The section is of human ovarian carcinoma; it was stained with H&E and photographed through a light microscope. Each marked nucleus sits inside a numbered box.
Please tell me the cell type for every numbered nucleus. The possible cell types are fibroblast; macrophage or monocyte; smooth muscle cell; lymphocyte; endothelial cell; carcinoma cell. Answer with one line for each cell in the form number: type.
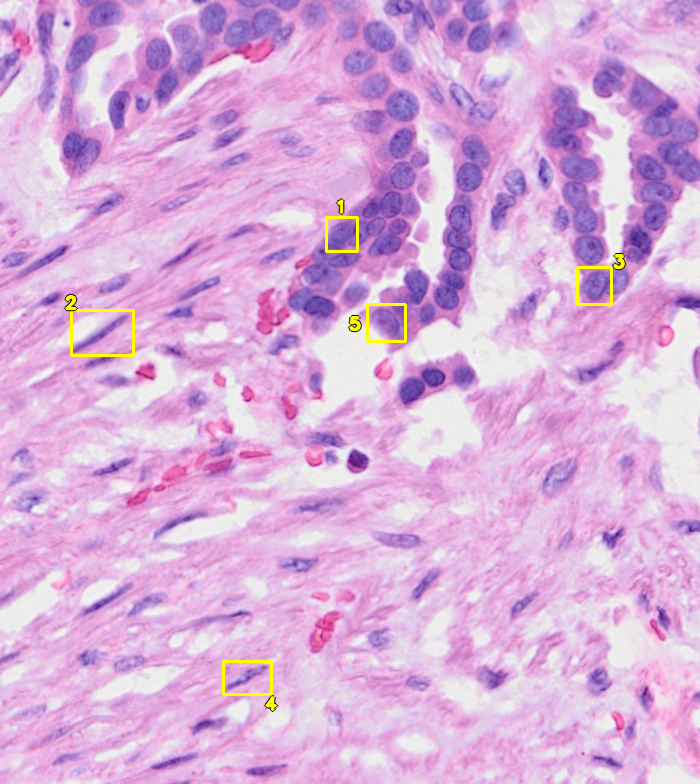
1: carcinoma cell
2: fibroblast
3: carcinoma cell
4: fibroblast
5: carcinoma cell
